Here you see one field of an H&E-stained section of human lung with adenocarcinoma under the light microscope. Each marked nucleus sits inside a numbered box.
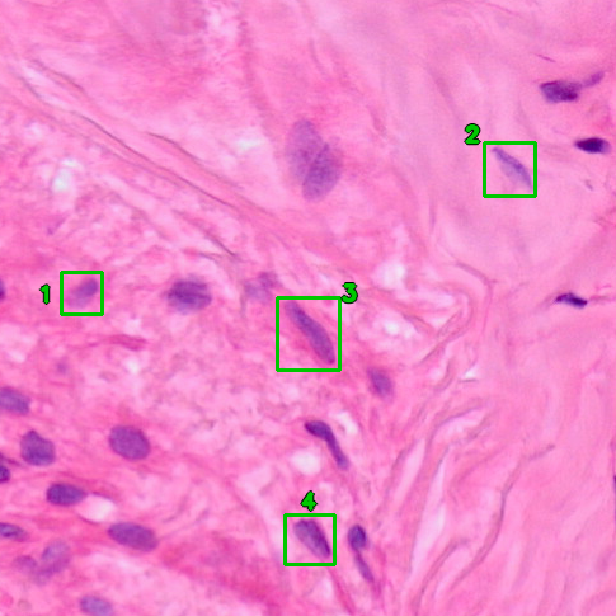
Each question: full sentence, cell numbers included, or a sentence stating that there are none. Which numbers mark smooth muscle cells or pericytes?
The cells marked by the numbers 1, 3 and 4 are smooth muscle cells or pericytes.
